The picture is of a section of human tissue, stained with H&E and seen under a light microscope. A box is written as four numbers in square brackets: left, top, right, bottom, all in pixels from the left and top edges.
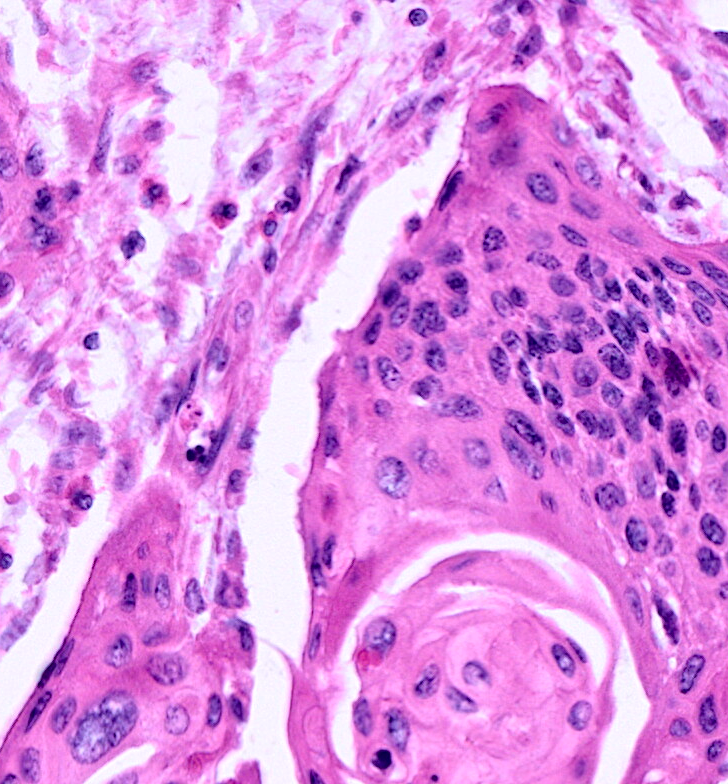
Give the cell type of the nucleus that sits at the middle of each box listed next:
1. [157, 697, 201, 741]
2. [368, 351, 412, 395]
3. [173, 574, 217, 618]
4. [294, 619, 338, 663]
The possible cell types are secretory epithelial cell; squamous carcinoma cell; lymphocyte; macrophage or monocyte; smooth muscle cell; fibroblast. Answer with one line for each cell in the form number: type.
1: squamous carcinoma cell
2: squamous carcinoma cell
3: macrophage or monocyte
4: squamous carcinoma cell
